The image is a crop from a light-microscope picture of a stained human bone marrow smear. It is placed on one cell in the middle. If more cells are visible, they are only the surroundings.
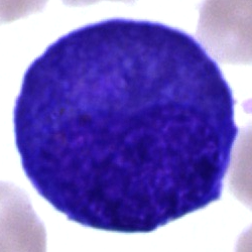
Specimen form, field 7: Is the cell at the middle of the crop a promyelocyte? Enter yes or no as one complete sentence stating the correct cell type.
Yes, the cell in the middle is recognised as a promyelocyte.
